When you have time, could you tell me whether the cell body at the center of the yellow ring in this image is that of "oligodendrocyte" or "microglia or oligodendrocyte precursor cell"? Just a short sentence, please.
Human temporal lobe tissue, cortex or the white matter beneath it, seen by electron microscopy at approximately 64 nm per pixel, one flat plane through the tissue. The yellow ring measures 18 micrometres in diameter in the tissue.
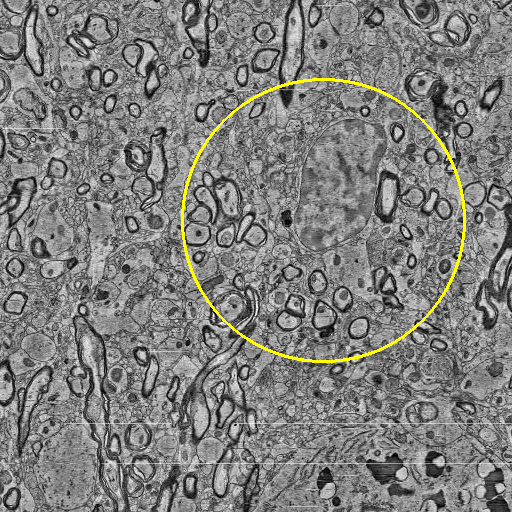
The cell body at the center of the ring is that of a microglial cell or oligodendrocyte precursor cell.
